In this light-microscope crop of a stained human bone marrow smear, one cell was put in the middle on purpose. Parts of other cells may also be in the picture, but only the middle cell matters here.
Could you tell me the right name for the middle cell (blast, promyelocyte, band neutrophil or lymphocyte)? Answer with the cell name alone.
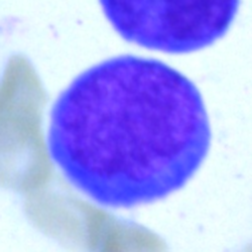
blast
